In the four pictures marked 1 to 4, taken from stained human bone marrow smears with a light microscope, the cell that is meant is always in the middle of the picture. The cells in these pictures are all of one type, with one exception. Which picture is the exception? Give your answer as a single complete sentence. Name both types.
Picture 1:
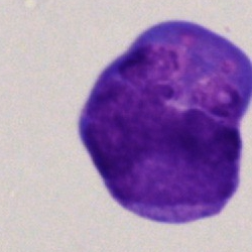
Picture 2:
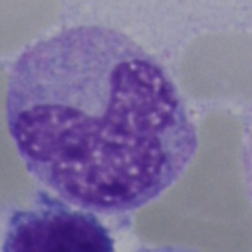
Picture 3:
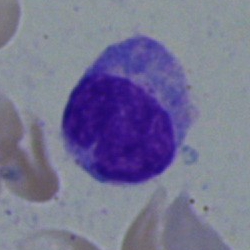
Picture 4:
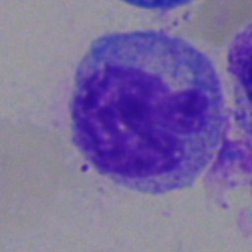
All pictures except 1 show monocytes; picture 1 shows a blast.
